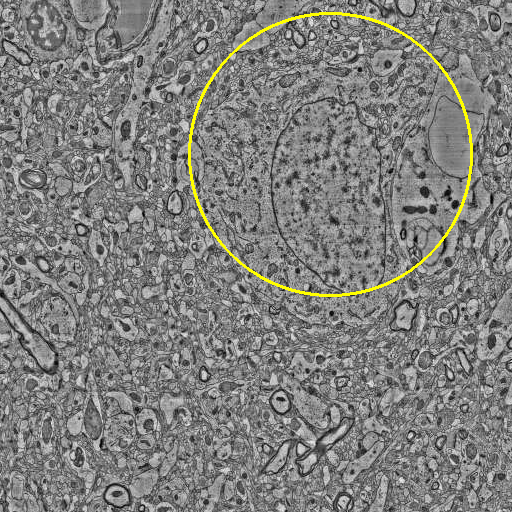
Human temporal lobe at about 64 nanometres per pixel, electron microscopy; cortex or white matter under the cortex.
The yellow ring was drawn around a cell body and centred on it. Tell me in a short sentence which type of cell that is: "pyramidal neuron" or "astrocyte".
The cell at the ring's centre is a pyramidal neuron.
